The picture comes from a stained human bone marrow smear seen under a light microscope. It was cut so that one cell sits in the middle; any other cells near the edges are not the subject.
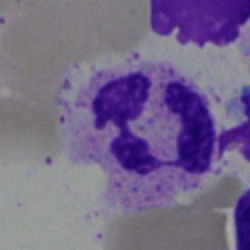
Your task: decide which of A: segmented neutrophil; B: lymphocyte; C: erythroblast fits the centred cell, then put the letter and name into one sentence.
The cell shown centrally is a segmented neutrophil; option A is the correct option.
